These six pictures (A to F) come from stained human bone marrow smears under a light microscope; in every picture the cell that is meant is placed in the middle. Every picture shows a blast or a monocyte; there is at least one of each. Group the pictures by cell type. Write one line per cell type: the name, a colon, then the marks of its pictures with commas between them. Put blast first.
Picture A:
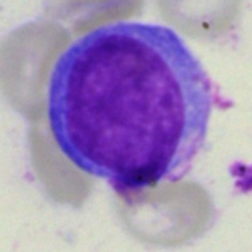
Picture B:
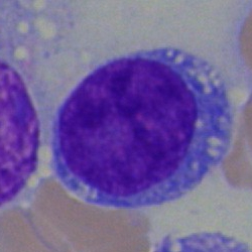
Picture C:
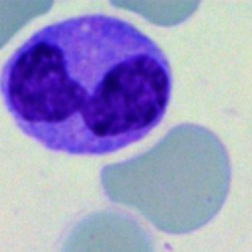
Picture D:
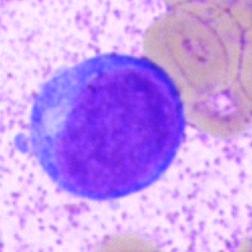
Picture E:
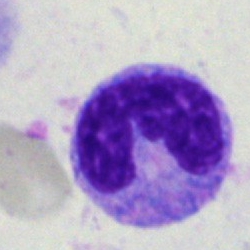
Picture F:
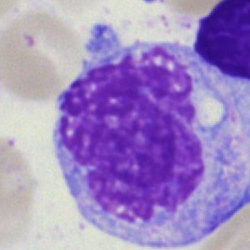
blast: A, B, D
monocyte: C, E, F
